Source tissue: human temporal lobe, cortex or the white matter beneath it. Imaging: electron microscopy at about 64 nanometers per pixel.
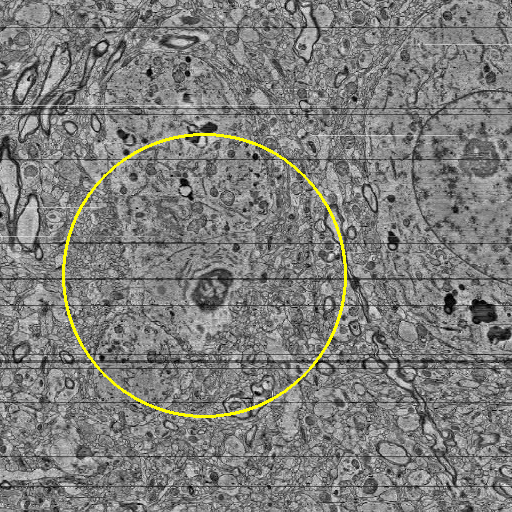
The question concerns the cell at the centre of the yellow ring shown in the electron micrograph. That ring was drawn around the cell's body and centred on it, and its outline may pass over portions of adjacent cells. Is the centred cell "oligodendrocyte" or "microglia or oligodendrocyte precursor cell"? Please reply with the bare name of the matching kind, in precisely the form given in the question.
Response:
microglia or oligodendrocyte precursor cell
